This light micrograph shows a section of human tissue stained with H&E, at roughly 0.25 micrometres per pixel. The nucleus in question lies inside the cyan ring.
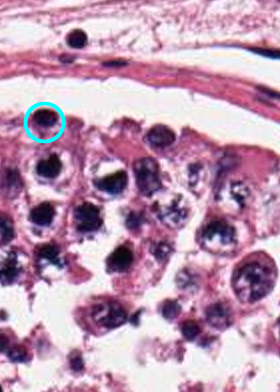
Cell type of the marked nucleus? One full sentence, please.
It is a spermatogonium that the marked nucleus belongs to.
